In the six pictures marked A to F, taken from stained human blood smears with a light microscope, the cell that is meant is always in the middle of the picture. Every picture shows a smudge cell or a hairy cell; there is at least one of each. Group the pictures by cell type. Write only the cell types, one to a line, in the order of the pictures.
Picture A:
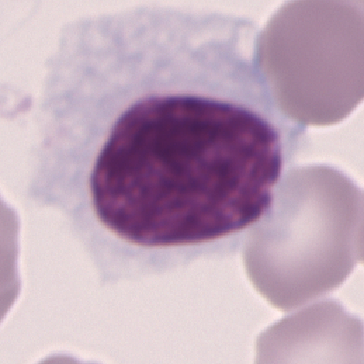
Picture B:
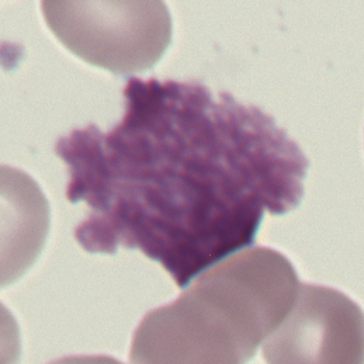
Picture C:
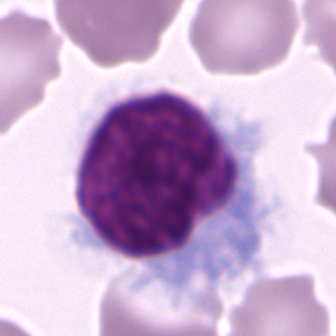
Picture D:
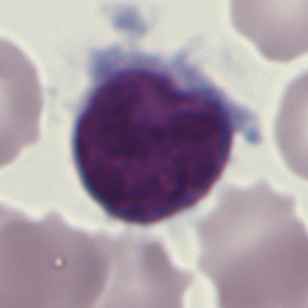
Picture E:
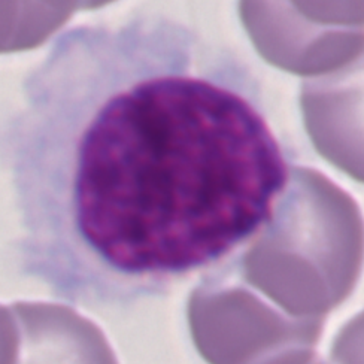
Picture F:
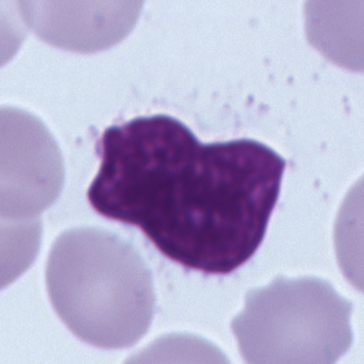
hairy cell
smudge cell
hairy cell
hairy cell
hairy cell
smudge cell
